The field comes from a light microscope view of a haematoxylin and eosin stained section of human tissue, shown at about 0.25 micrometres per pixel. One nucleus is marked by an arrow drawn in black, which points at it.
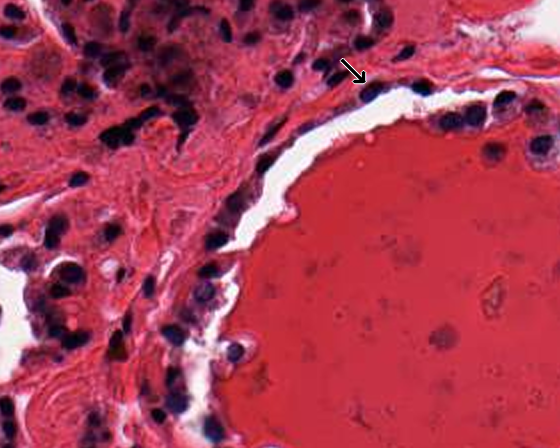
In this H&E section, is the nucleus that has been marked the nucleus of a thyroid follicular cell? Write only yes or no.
yes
